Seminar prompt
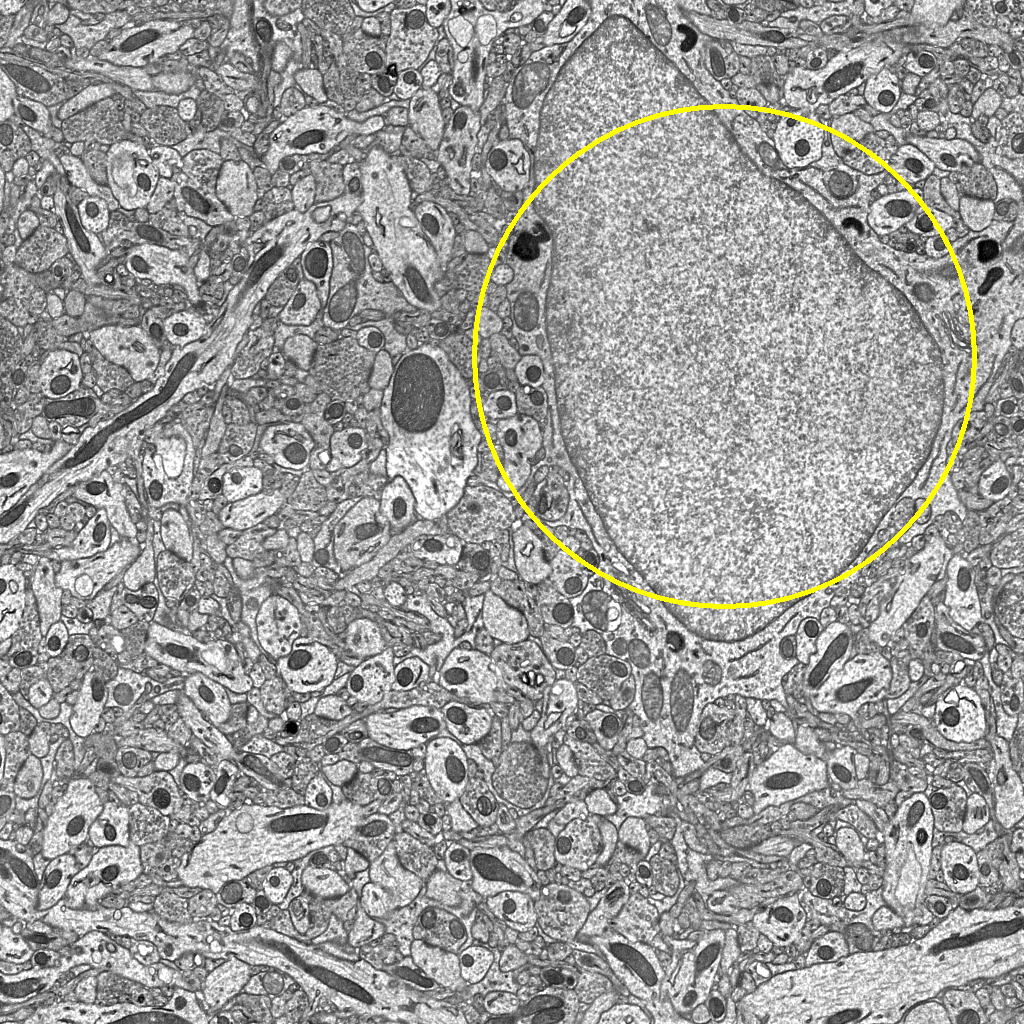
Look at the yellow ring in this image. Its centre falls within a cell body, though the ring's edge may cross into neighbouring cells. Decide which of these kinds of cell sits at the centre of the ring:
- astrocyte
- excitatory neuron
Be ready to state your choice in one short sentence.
The kind of cell at the ring's centre is an astrocyte.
